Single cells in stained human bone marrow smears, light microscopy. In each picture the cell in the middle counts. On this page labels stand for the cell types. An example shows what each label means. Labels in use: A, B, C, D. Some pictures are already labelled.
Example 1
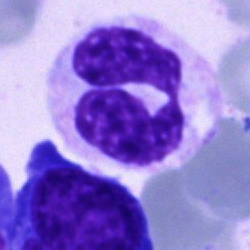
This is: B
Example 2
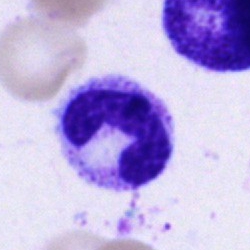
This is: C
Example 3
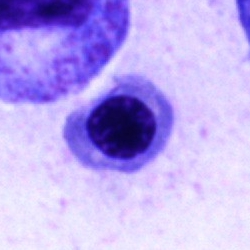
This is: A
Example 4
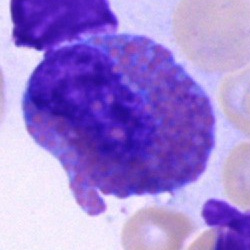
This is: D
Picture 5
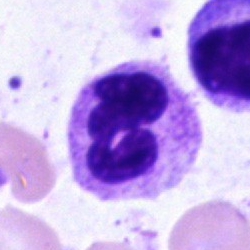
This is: B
